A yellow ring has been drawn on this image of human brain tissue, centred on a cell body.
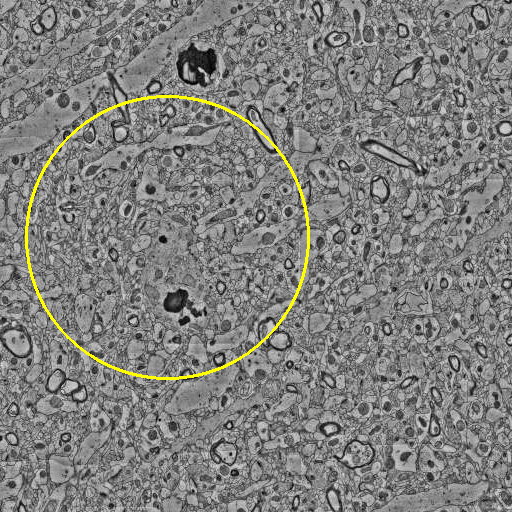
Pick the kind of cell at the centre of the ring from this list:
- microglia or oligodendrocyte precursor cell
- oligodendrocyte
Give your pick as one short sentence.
The centre of the ring holds an oligodendrocyte.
